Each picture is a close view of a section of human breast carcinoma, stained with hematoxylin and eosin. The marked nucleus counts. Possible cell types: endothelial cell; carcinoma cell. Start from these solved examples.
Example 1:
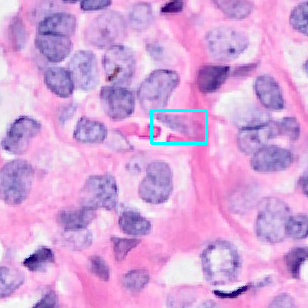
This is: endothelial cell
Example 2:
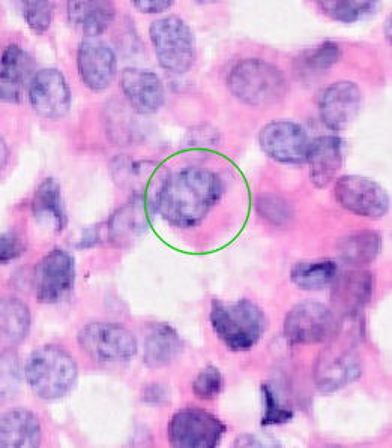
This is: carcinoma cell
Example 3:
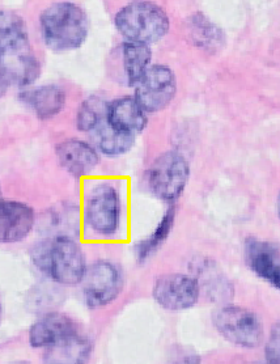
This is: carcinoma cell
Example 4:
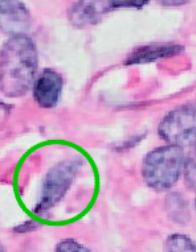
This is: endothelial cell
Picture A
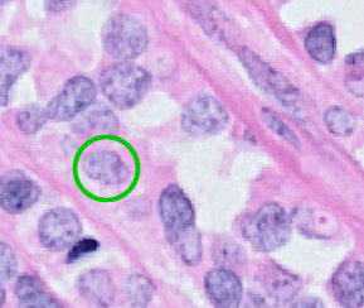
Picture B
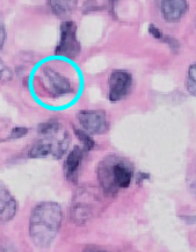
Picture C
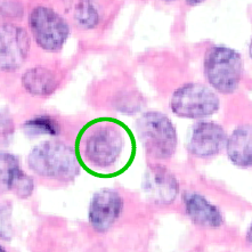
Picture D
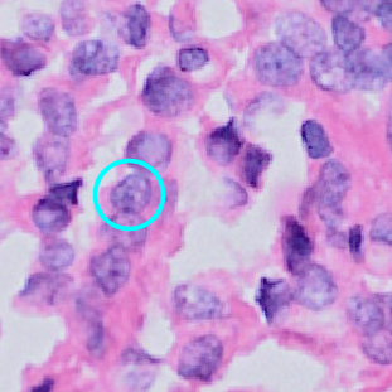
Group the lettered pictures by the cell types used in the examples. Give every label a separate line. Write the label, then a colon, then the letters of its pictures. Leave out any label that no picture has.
endothelial cell: B
carcinoma cell: A, C, D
